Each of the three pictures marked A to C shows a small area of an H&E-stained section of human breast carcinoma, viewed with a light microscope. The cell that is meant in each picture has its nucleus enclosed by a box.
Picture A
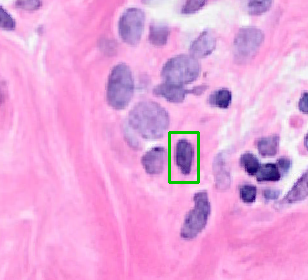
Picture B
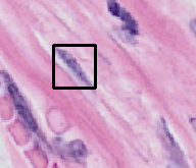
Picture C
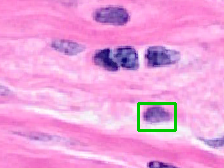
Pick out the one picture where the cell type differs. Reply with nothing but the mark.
B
